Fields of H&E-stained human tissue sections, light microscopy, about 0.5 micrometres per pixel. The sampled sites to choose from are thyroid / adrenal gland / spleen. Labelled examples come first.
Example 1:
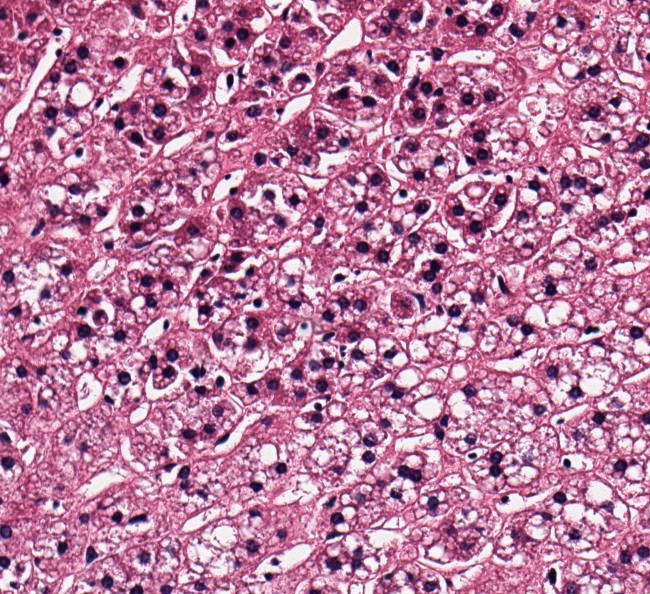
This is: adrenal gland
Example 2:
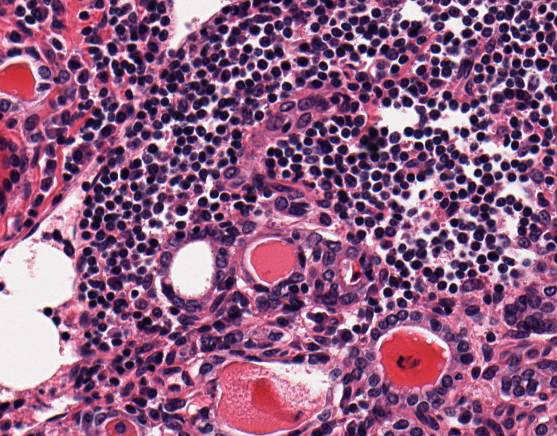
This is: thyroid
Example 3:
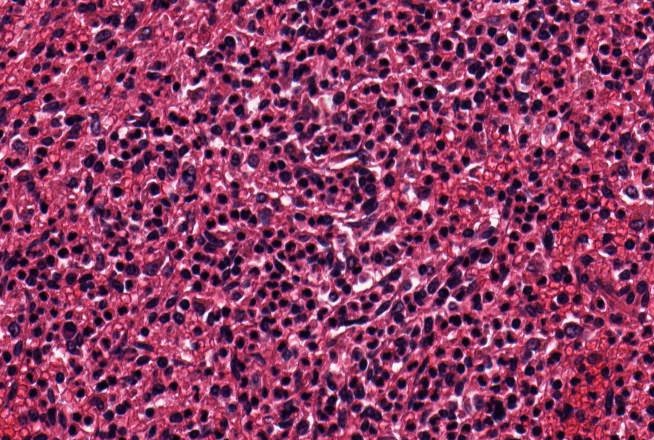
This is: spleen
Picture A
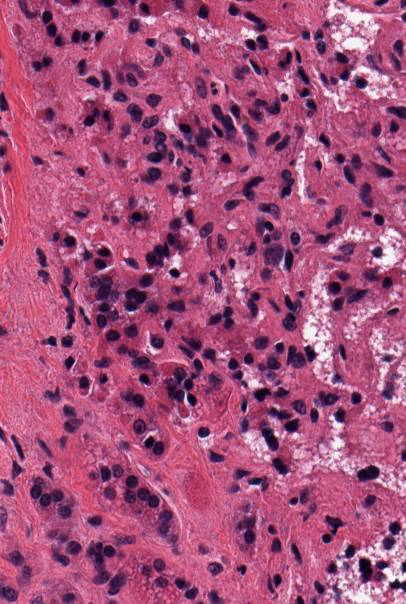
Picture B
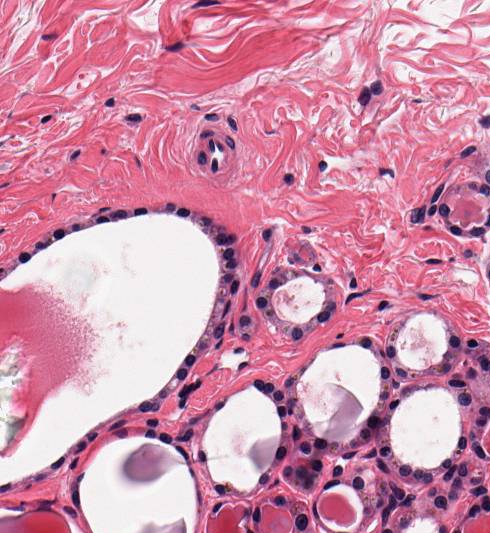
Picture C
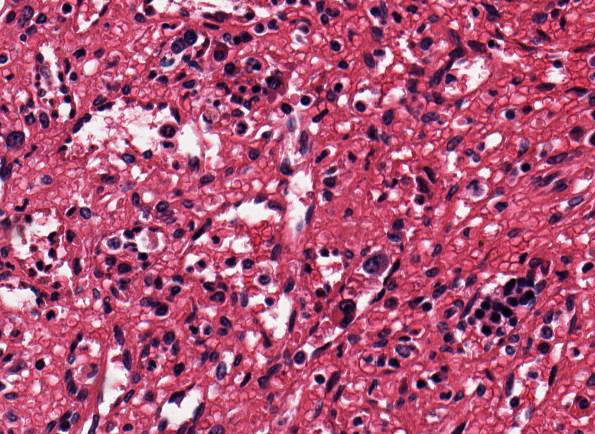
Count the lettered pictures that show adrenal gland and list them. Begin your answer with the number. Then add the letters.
1: A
